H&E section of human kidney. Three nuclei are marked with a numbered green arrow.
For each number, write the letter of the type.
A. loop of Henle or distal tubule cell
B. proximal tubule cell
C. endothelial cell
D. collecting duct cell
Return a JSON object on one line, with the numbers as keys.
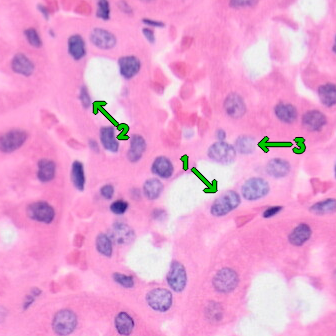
{"1": "D", "2": "A", "3": "D"}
